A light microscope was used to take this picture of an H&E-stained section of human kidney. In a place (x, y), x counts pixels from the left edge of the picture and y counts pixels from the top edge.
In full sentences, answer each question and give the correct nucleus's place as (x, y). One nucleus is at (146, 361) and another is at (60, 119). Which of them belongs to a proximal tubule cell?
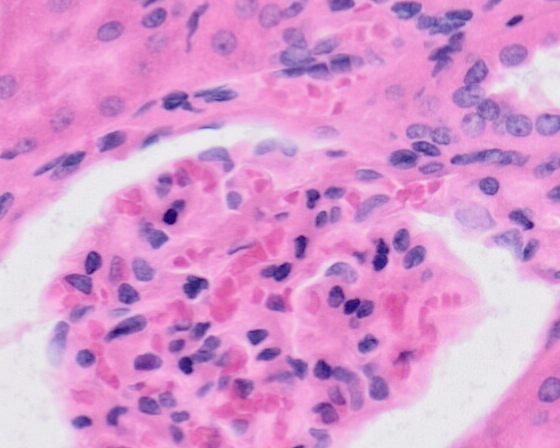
Of the pair, the nucleus located at (60, 119) belongs to a proximal tubule cell.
